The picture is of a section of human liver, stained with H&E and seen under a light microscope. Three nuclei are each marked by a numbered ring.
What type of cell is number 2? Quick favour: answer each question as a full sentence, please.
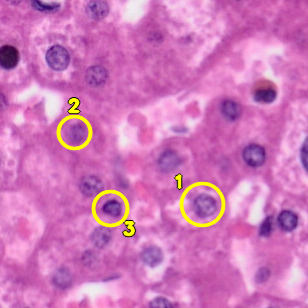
The one labeled 2 is a hepatocyte, to put it simply.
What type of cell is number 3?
To a fibroblast or stellate cell belongs the nucleus marked 3.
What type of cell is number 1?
Among the marked nuclei, number 1 belongs to a hepatocyte.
